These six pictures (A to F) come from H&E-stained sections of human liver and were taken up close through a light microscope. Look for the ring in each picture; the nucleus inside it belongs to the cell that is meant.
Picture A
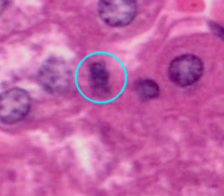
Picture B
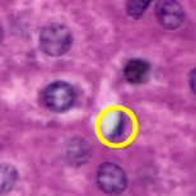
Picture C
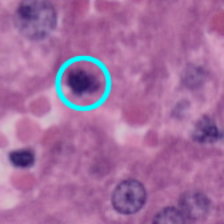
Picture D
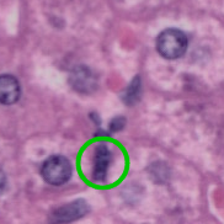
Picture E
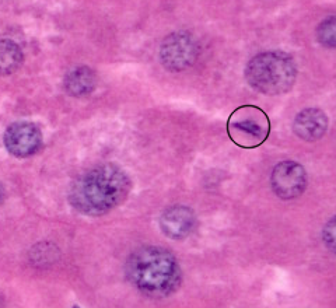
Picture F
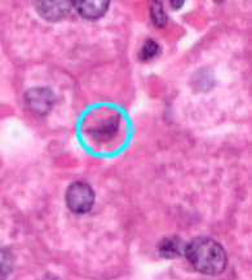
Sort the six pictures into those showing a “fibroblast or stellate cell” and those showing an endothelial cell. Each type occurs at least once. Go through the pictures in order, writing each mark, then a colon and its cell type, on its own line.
A: fibroblast or stellate cell
B: endothelial cell
C: fibroblast or stellate cell
D: fibroblast or stellate cell
E: fibroblast or stellate cell
F: endothelial cell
